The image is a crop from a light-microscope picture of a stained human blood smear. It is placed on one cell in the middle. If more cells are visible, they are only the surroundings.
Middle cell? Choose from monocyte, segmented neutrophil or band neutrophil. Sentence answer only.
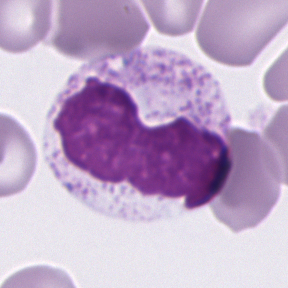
For this crop, the central cell is a band neutrophil.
